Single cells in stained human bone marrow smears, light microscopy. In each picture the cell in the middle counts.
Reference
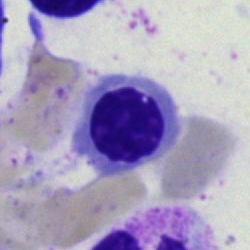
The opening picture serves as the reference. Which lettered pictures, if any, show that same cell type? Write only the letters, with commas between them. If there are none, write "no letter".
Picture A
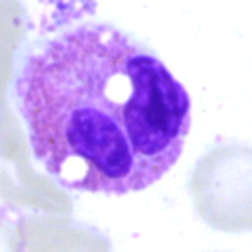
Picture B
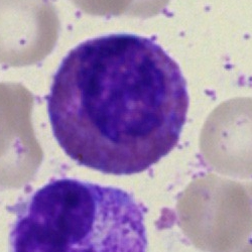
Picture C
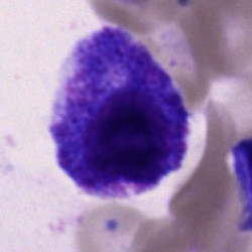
no letter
